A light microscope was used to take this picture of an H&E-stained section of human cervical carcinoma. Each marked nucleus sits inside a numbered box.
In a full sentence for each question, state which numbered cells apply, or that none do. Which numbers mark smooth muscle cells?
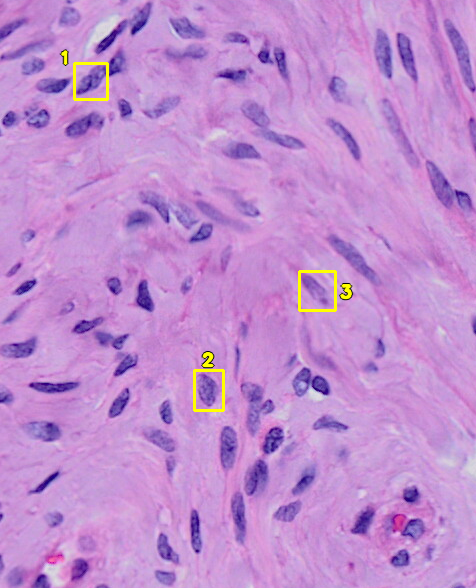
Of the cells marked with numbers, cell 3 is the only one that is a smooth muscle cell.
